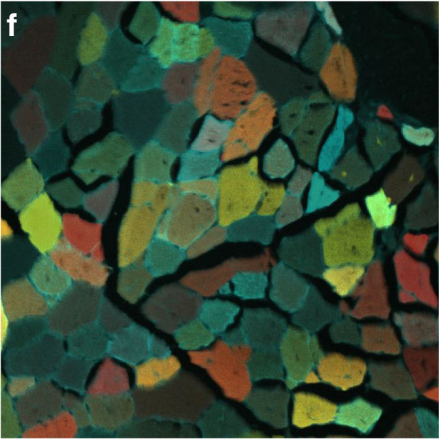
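Muscle fibers in cross-section appear as closely fitted polygonal profiles with dark boundaries between them. Each fiber has a fairly even tint across its area, ranging from teal and cyan through yellow to orange and red, and the boundaries between fibers are sharply drawn.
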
